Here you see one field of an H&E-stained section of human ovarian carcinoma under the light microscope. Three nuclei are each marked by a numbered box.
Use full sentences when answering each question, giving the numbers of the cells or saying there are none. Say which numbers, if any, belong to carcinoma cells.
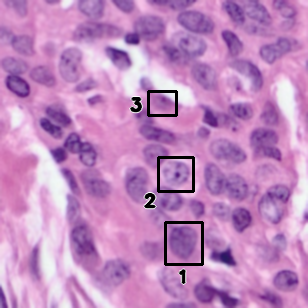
Cells 1 and 3 in the section are typed as carcinoma cells.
